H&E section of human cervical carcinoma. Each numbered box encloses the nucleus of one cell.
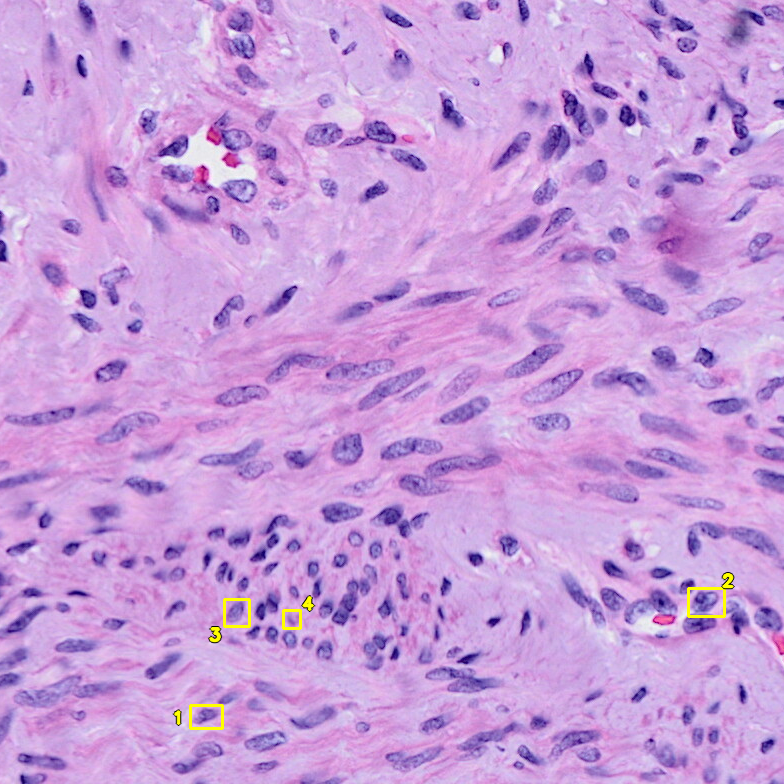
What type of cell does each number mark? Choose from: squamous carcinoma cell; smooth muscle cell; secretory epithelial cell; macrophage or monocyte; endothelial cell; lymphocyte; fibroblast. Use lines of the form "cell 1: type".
cell 1: smooth muscle cell
cell 2: endothelial cell
cell 3: smooth muscle cell
cell 4: smooth muscle cell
